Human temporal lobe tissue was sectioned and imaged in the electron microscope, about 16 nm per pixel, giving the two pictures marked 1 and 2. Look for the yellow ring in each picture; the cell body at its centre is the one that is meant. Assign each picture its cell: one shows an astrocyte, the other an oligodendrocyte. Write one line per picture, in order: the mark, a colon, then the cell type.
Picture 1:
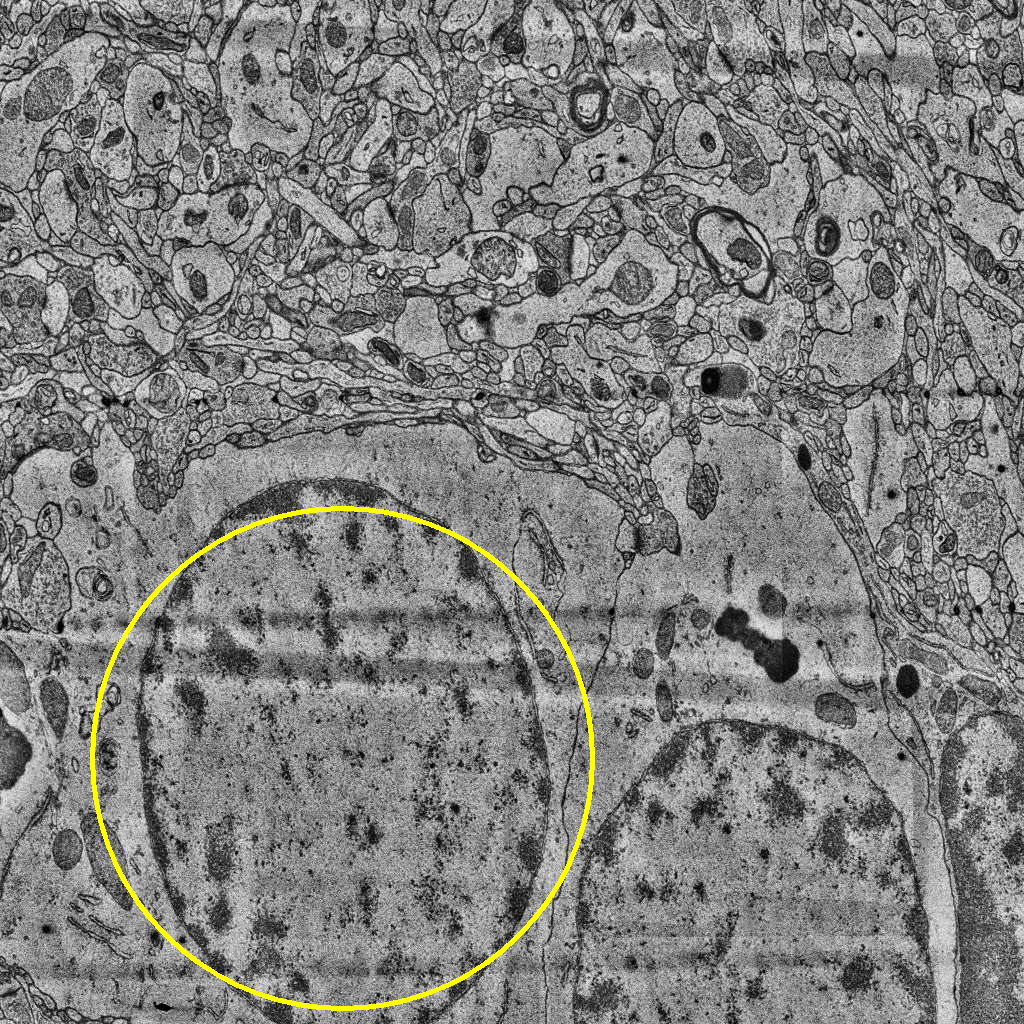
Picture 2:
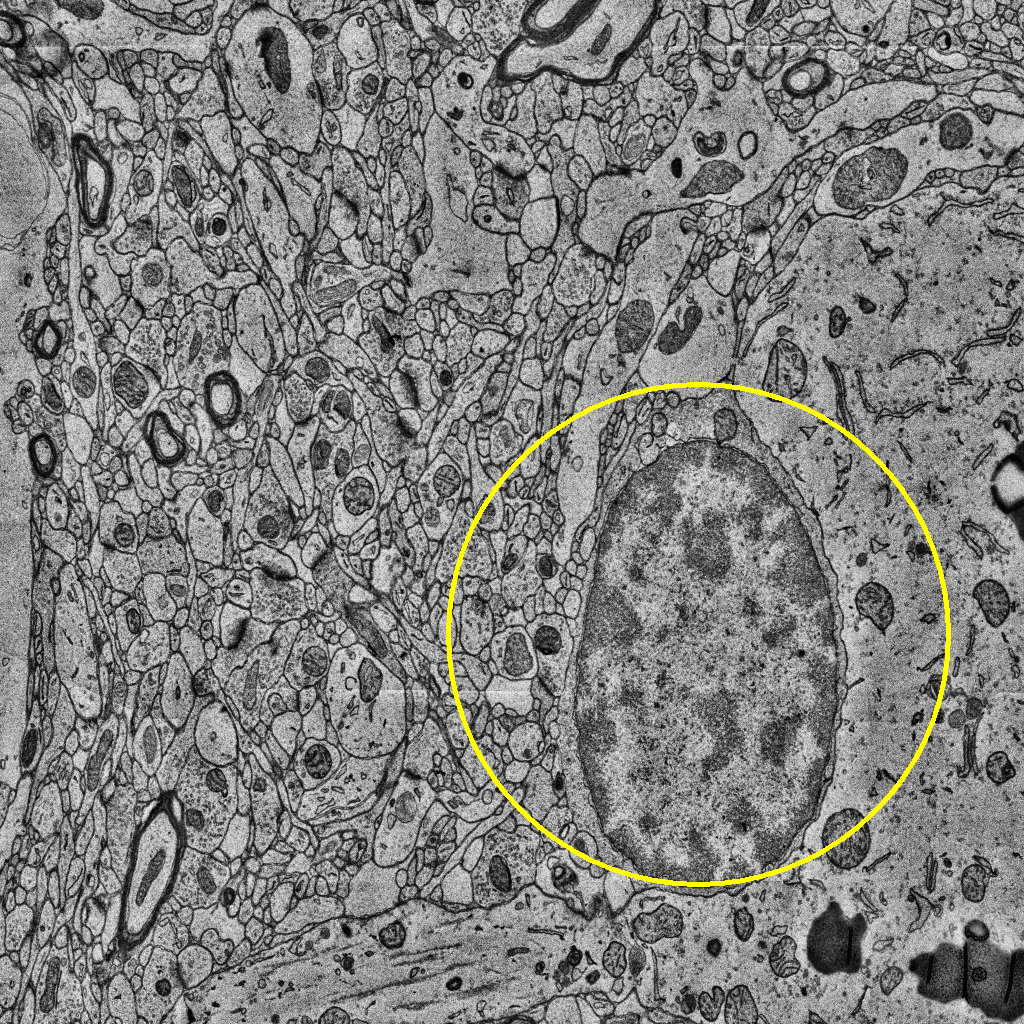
1: astrocyte
2: oligodendrocyte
